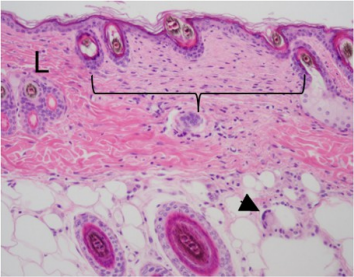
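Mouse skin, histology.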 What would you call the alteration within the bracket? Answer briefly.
fibrosis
